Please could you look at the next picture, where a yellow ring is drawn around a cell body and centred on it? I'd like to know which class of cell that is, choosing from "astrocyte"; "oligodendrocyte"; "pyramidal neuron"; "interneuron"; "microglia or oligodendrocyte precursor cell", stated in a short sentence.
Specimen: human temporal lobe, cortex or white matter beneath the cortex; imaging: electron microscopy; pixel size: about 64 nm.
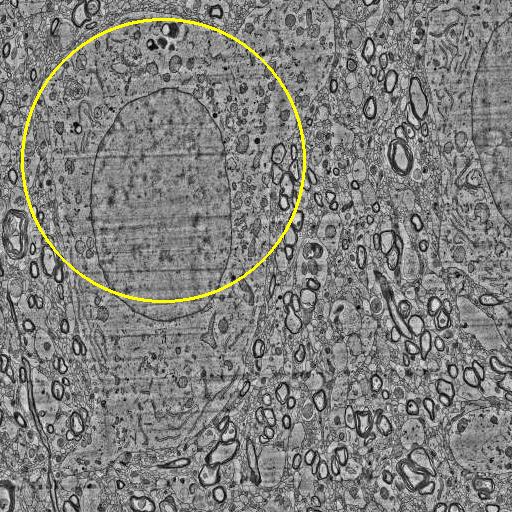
The ring's centre lies on a pyramidal neuron.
